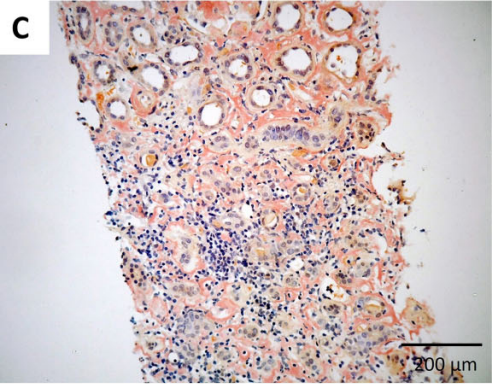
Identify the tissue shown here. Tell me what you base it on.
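Many small cross-sectioned tubules with open lumens. Interstitium between tubules contains clusters of small dark round nuclei.
Tubulointerstitial tissue.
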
